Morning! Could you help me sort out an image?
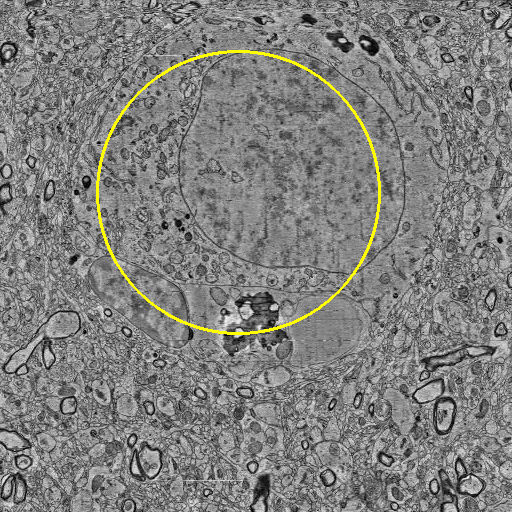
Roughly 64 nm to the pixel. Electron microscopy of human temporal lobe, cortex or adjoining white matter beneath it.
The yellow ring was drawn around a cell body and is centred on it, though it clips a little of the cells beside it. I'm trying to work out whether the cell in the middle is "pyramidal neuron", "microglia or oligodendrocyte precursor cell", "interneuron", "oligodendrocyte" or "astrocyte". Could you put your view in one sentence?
The ringed cell body is that of a pyramidal neuron.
